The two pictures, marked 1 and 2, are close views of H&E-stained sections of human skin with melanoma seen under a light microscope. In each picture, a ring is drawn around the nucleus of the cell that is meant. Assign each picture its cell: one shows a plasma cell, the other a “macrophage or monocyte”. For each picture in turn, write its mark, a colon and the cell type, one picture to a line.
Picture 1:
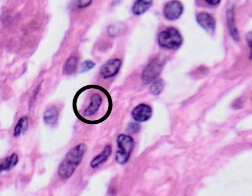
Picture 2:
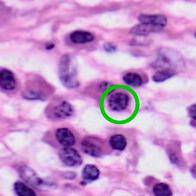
1: macrophage or monocyte
2: plasma cell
